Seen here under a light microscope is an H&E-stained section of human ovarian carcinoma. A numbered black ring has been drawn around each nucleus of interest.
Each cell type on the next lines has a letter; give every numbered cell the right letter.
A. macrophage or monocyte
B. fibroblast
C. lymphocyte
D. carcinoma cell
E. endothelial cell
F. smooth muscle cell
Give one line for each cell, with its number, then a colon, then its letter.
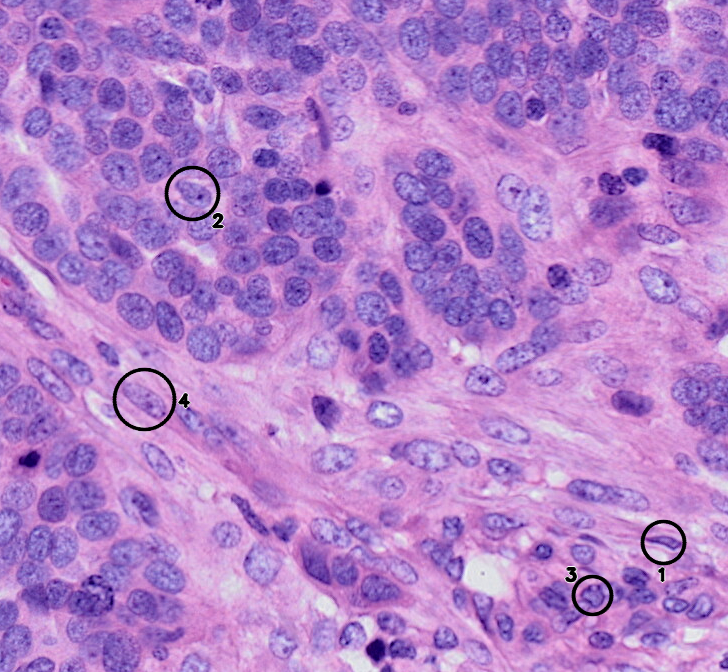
1: B
2: A
3: E
4: B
